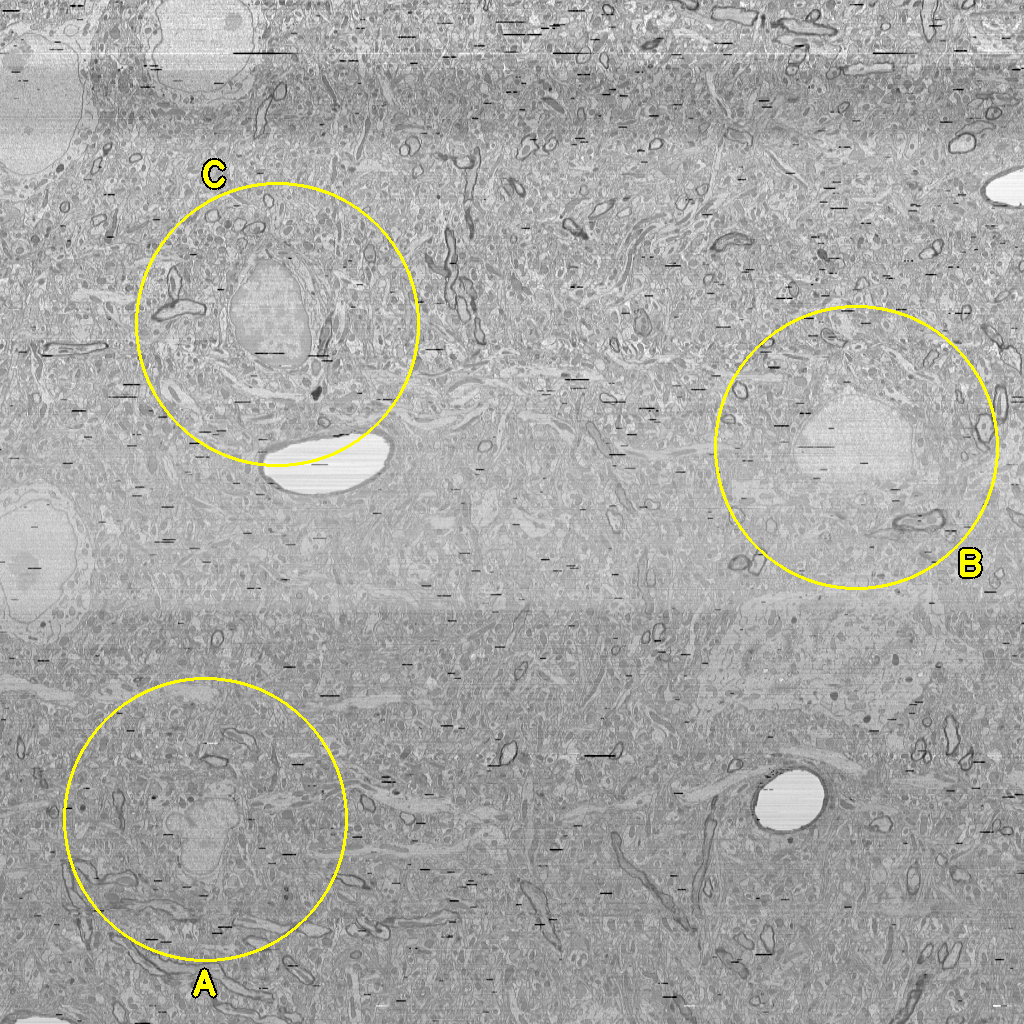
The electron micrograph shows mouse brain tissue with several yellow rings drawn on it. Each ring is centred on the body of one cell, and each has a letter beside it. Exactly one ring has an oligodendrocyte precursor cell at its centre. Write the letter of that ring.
A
